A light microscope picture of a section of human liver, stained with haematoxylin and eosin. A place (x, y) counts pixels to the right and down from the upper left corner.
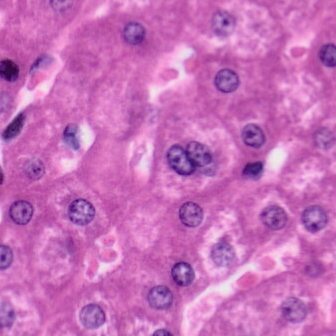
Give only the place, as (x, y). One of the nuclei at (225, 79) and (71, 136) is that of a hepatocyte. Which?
(225, 79)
